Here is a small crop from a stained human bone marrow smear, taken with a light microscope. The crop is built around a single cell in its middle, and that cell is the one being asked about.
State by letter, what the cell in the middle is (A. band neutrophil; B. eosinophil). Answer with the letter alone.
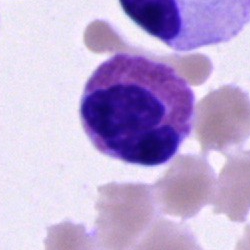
B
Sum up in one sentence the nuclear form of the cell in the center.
Between us, the nucleus here is just one compact mass, round, oval or kidney-shaped.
